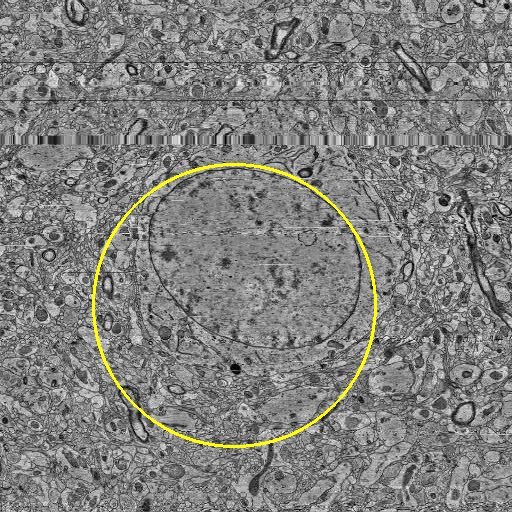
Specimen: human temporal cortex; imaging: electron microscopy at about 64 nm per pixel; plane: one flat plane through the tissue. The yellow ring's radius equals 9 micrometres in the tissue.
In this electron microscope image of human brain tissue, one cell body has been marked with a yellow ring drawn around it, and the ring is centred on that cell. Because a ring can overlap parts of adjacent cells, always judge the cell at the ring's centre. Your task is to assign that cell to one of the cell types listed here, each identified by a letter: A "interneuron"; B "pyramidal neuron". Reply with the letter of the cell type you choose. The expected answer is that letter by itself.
B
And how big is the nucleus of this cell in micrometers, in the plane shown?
In this plane, about 14 micrometres in length and 11 in width.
